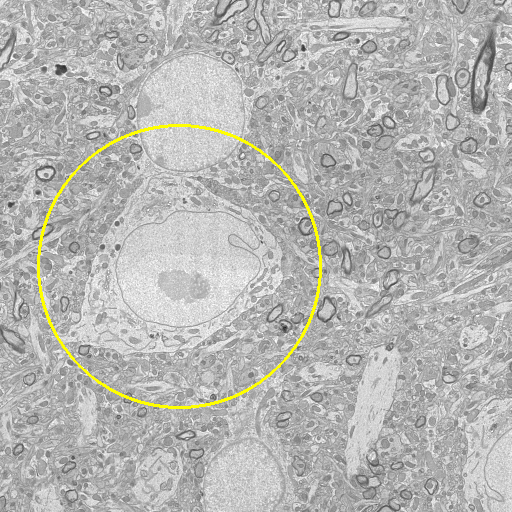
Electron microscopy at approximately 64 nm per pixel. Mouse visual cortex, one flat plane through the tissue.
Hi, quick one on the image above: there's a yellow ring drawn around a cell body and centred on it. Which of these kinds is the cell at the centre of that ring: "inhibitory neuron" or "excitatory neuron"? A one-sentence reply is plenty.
The cell at the centre of the ring is an excitatory neuron.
